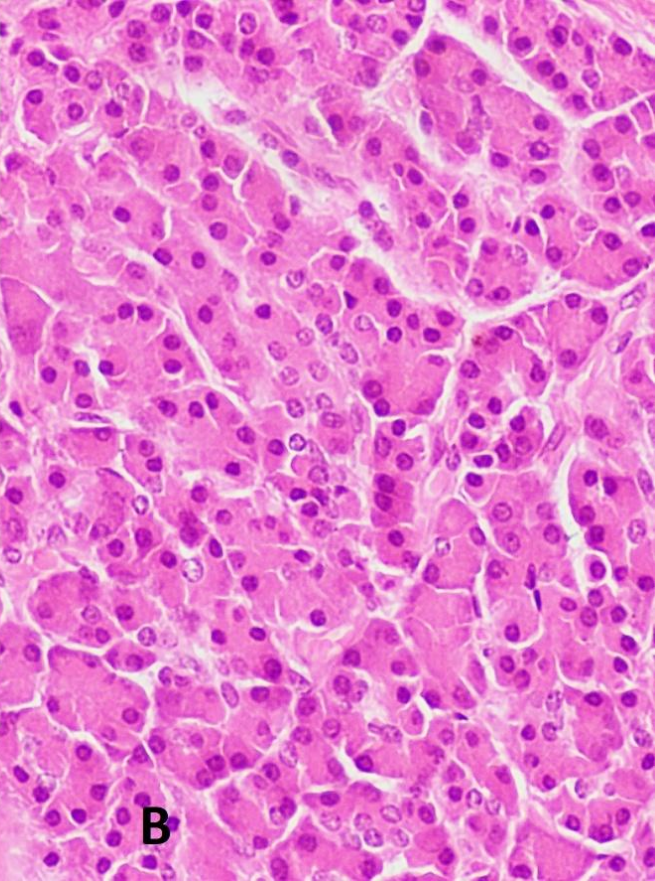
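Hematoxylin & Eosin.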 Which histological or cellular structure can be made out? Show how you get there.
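Cells are grouped in small rounded clusters separated by thin clefts. The cytoplasm is abundant and pink-purple.
Hence: acini.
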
